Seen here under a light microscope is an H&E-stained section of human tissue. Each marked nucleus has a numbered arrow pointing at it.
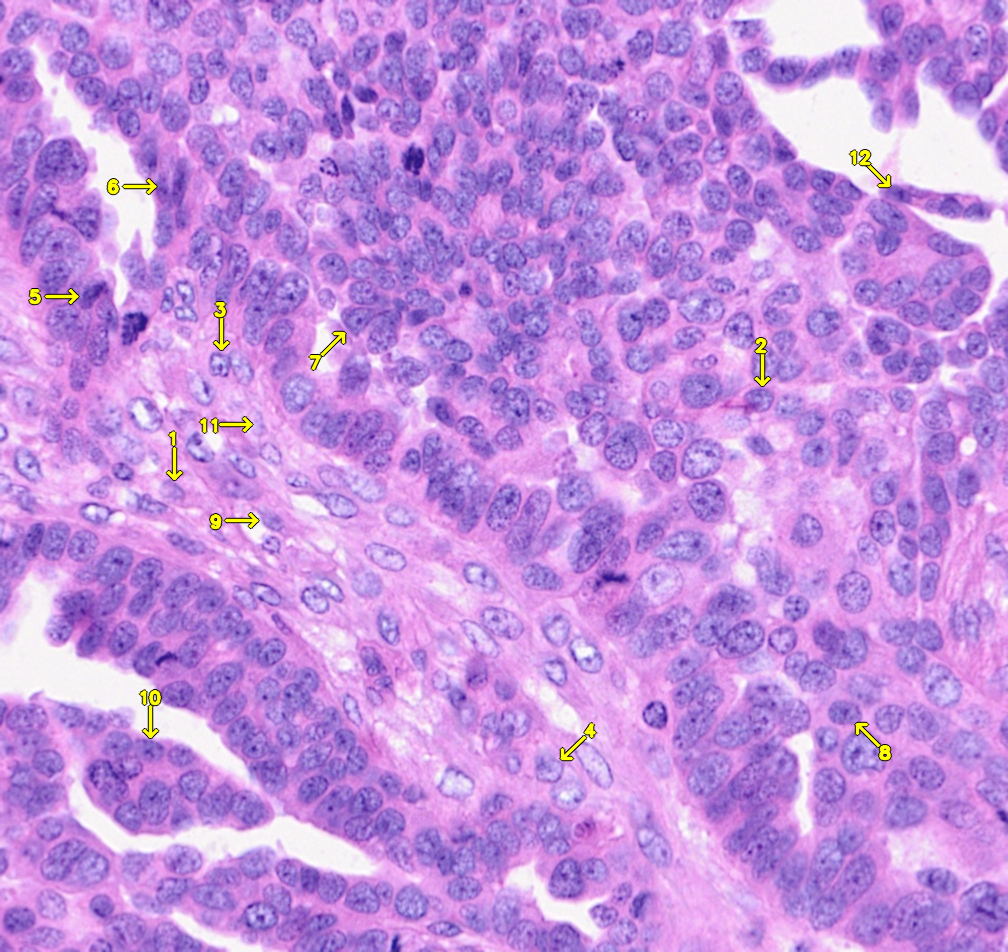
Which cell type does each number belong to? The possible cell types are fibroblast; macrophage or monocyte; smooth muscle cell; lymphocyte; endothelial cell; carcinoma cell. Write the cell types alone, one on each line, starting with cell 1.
fibroblast
carcinoma cell
fibroblast
fibroblast
carcinoma cell
carcinoma cell
carcinoma cell
carcinoma cell
fibroblast
carcinoma cell
fibroblast
carcinoma cell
